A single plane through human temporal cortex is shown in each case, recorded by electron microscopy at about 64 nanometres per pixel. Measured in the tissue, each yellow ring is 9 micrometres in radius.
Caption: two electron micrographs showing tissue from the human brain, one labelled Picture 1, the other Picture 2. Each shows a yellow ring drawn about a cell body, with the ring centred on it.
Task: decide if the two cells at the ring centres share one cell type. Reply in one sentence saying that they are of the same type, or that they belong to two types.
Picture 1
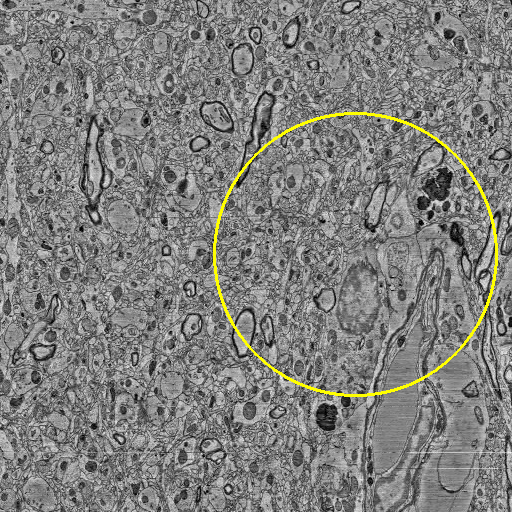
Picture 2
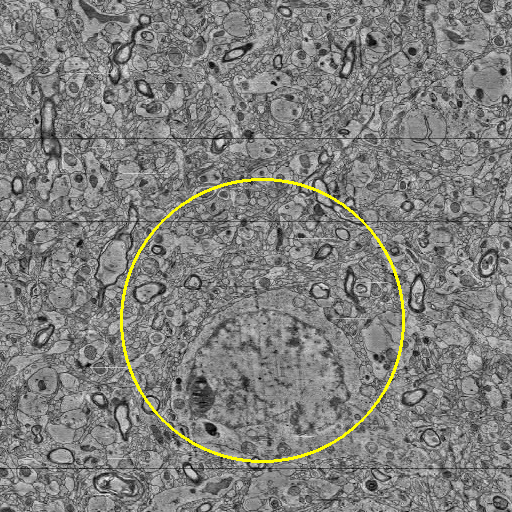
The cells at the ring centres in Picture 1 and Picture 2 belong to two types.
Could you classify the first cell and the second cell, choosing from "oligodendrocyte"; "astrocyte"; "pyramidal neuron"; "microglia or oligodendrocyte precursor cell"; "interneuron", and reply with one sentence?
The second cell is an interneuron, while the first is an oligodendrocyte.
